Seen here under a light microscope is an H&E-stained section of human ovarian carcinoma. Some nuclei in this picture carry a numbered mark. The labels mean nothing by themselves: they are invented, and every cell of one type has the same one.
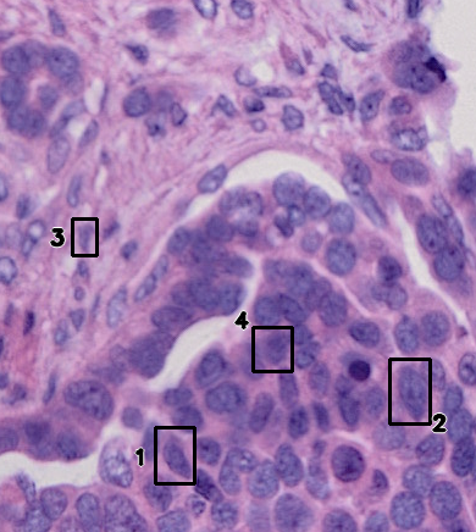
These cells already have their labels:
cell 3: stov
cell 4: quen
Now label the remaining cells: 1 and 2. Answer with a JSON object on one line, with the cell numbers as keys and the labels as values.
{"1": "quen", "2": "quen"}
